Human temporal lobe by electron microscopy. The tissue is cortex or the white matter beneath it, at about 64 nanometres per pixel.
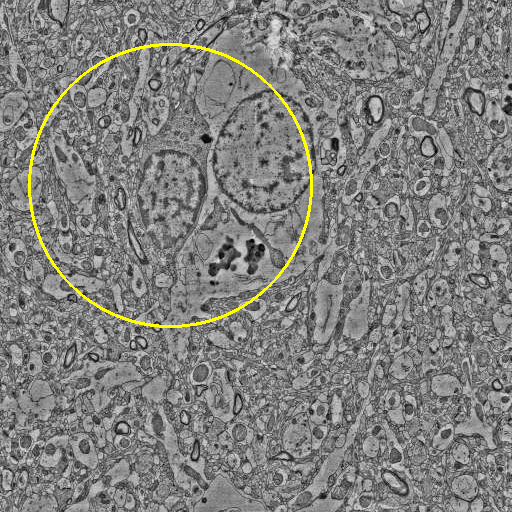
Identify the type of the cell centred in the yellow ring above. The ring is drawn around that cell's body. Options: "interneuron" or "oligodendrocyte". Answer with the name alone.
oligodendrocyte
